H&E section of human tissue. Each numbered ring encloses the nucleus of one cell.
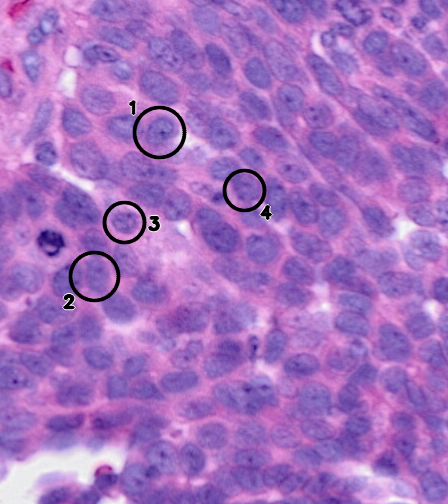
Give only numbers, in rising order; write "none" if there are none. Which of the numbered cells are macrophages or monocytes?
3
